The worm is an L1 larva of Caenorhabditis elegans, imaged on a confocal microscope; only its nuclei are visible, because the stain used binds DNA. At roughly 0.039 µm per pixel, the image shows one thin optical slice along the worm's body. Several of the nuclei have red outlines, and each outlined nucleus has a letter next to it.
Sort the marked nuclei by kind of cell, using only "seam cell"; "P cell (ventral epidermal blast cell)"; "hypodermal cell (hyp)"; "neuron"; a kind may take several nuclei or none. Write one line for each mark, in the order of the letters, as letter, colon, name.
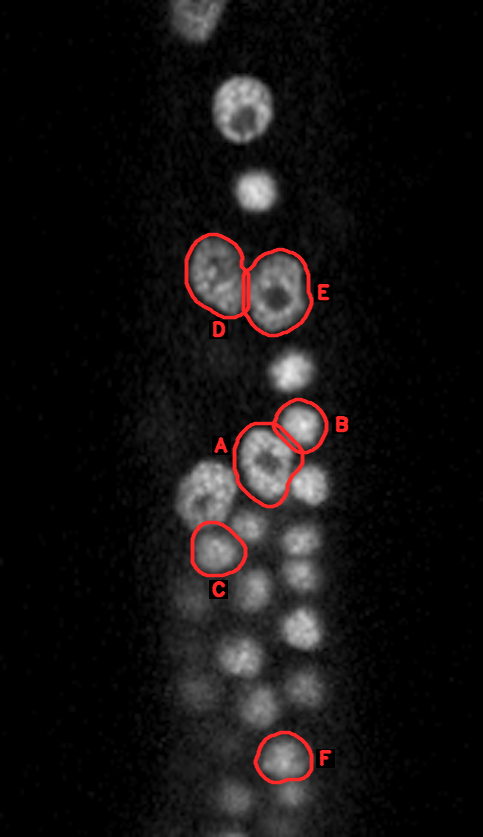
A: seam cell
B: neuron
C: neuron
D: hypodermal cell (hyp)
E: hypodermal cell (hyp)
F: neuron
